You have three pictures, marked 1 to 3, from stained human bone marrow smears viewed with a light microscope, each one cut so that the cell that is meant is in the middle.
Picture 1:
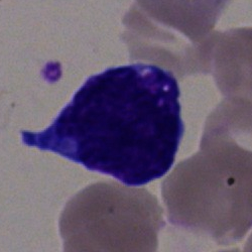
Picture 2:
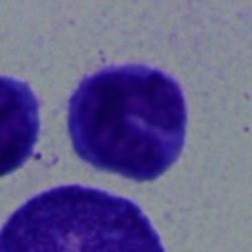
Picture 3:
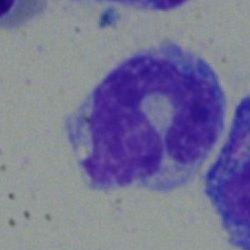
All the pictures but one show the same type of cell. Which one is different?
1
